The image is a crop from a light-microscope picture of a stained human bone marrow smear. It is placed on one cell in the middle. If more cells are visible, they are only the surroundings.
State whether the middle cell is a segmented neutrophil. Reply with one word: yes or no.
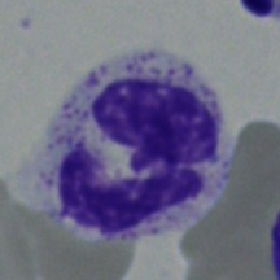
yes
